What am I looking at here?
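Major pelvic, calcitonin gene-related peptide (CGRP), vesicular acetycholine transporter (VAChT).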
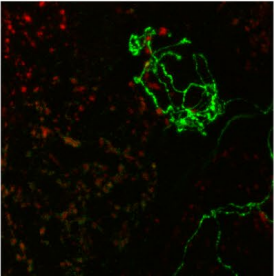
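In this ganglion field a green beaded axon winds round and round to form a basket enclosing an unstained neuron at the top. Its fibres show swellings joined by thinner stretches between them. A second group of fine green beaded fibres runs across the lower right corner.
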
